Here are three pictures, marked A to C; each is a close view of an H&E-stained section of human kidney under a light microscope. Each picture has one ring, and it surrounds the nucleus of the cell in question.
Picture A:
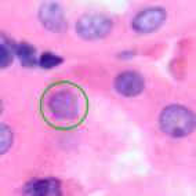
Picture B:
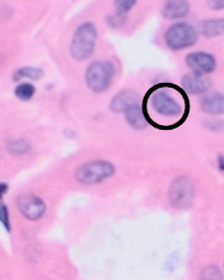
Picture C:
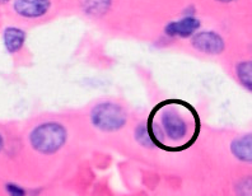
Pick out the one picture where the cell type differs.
A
